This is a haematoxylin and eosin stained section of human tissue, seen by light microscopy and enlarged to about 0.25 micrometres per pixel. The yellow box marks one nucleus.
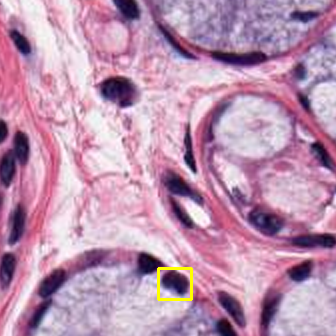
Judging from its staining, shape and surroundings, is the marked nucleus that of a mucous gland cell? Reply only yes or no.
yes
